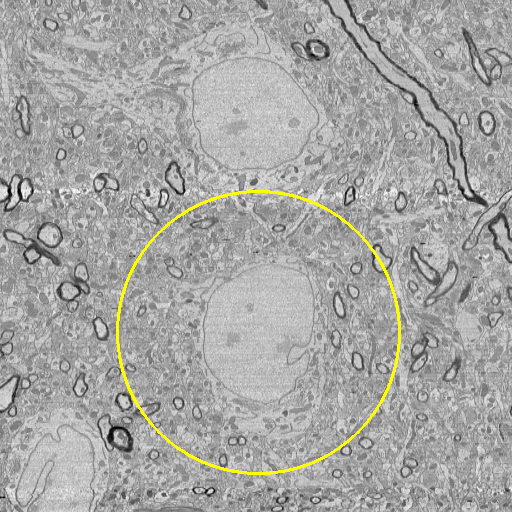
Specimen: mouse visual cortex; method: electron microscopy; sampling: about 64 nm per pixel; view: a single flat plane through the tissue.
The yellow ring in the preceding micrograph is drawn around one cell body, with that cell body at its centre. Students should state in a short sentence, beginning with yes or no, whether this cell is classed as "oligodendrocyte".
No, this cell is of another type.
